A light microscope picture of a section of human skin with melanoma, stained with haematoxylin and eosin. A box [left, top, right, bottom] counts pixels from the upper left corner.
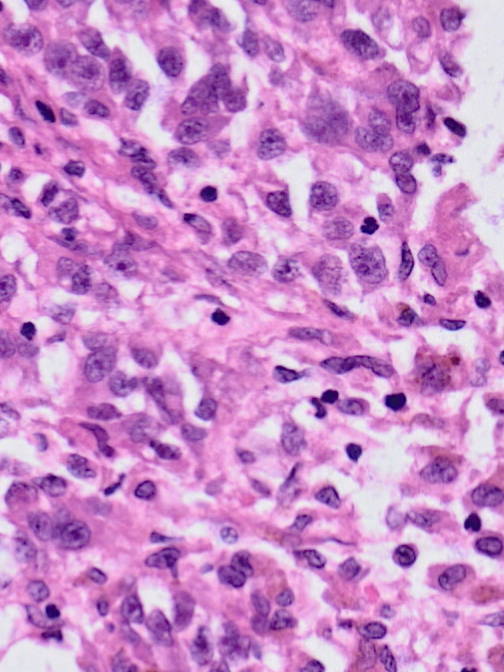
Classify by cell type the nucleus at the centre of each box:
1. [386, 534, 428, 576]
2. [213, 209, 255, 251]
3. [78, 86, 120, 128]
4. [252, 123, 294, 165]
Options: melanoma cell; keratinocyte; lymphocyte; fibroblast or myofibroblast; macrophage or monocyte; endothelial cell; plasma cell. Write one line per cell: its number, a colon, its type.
1: macrophage or monocyte
2: melanoma cell
3: melanoma cell
4: melanoma cell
